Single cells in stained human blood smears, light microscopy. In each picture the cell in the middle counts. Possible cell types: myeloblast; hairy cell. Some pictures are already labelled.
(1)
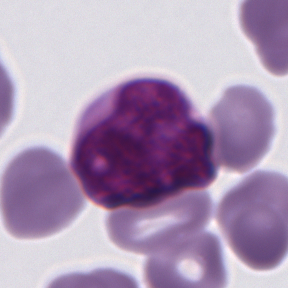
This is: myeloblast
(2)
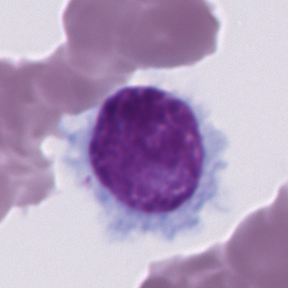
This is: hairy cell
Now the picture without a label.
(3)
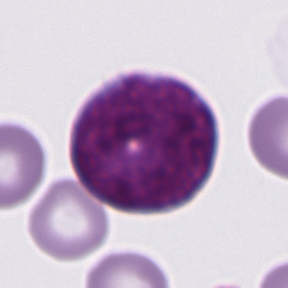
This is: myeloblast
